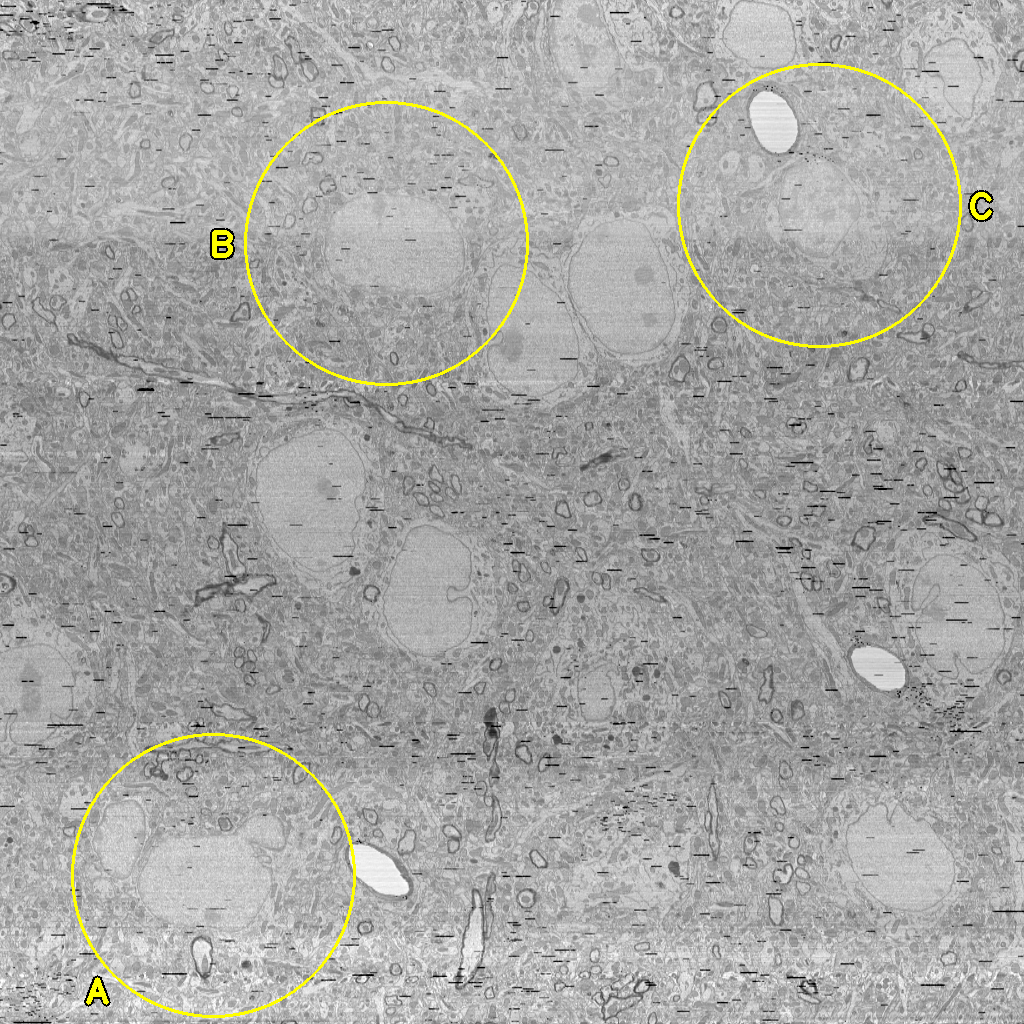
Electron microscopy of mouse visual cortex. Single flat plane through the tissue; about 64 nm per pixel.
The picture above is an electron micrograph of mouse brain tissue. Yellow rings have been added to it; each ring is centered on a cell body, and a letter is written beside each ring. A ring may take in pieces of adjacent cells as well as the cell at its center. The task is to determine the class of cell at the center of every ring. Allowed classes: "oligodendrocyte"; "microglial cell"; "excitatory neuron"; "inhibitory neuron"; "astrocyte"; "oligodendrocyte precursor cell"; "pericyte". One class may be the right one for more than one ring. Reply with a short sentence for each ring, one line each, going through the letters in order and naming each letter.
Ring A is centered on an astrocyte.
Ring B is centered on an astrocyte.
Ring C is centered on an oligodendrocyte.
